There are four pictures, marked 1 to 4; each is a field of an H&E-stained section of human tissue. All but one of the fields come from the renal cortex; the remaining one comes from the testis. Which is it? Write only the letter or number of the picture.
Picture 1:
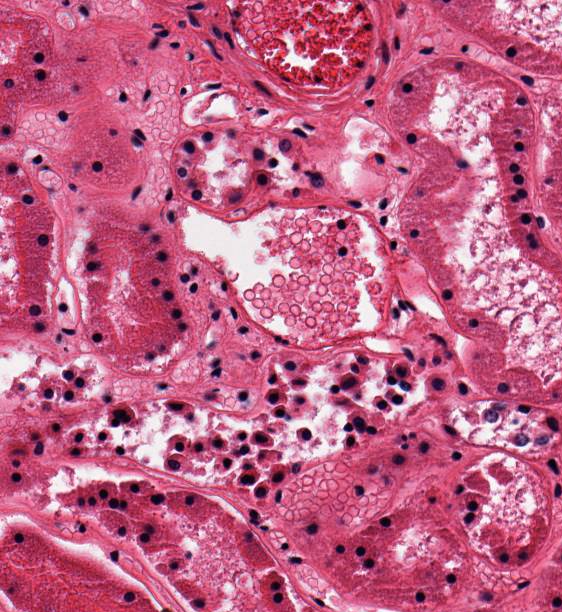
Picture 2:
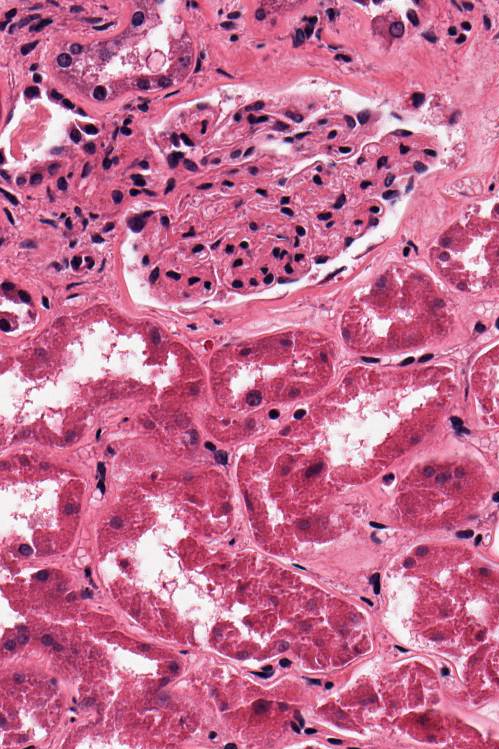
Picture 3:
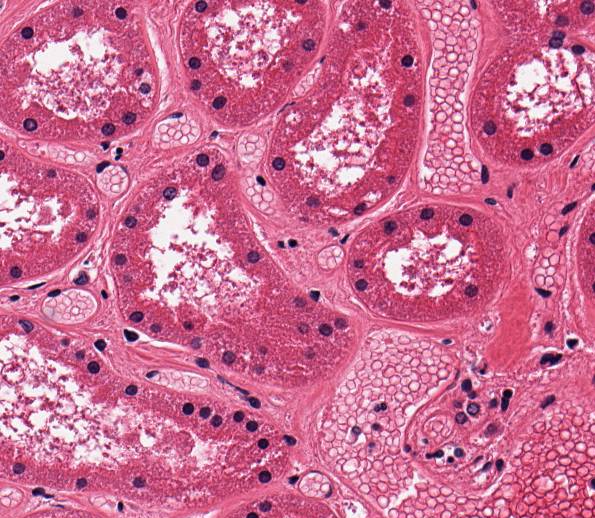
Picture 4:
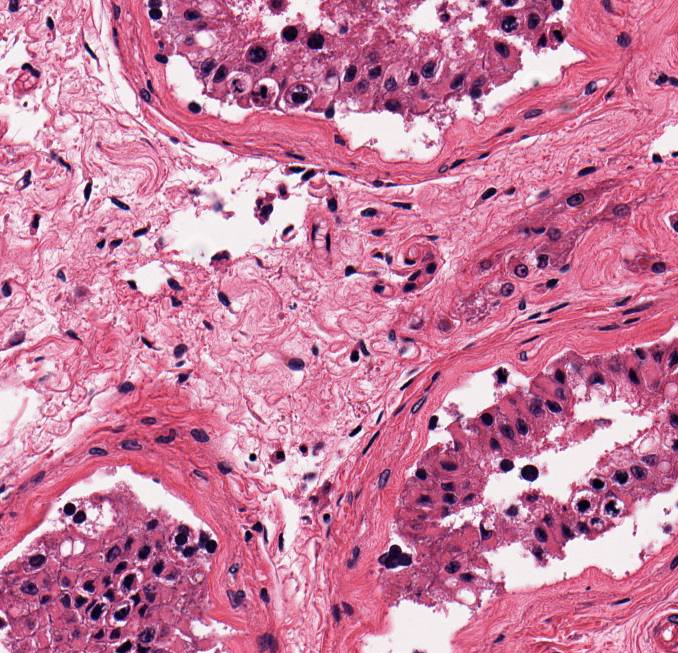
4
